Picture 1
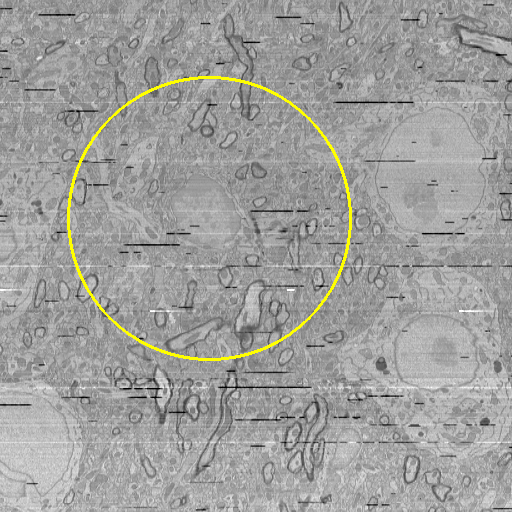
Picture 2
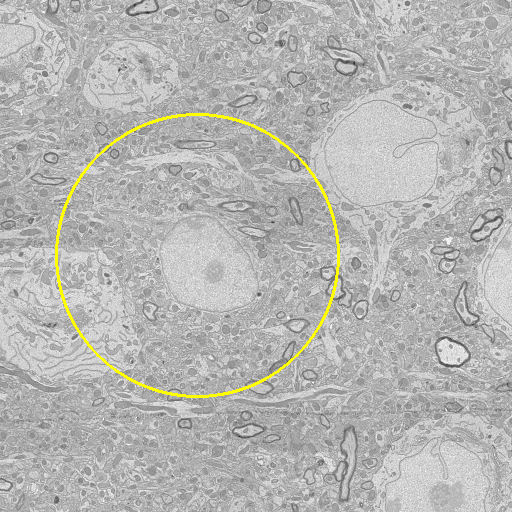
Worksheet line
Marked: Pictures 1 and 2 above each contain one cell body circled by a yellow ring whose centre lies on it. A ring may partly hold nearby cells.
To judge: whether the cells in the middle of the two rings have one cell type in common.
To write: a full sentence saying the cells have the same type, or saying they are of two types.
The cells in the middle of the rings in Picture 1 and Picture 2 are of two types.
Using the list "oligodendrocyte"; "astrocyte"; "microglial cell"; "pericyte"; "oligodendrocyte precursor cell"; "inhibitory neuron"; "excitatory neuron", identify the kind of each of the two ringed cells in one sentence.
The first is a microglial cell and the second is an astrocyte.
